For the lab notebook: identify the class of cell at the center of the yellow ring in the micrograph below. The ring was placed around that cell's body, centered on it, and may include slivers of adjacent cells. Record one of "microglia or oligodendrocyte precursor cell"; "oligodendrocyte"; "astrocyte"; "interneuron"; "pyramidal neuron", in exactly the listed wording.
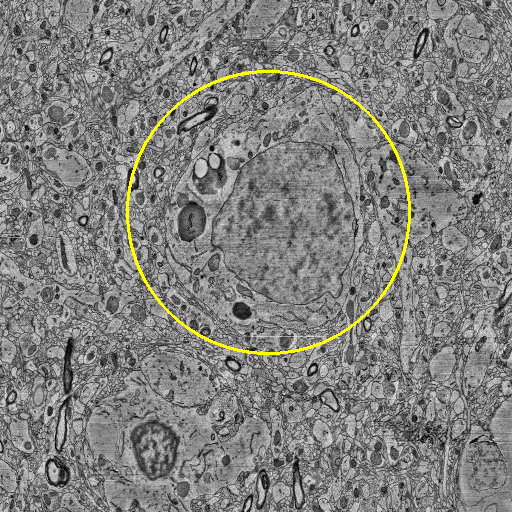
interneuron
